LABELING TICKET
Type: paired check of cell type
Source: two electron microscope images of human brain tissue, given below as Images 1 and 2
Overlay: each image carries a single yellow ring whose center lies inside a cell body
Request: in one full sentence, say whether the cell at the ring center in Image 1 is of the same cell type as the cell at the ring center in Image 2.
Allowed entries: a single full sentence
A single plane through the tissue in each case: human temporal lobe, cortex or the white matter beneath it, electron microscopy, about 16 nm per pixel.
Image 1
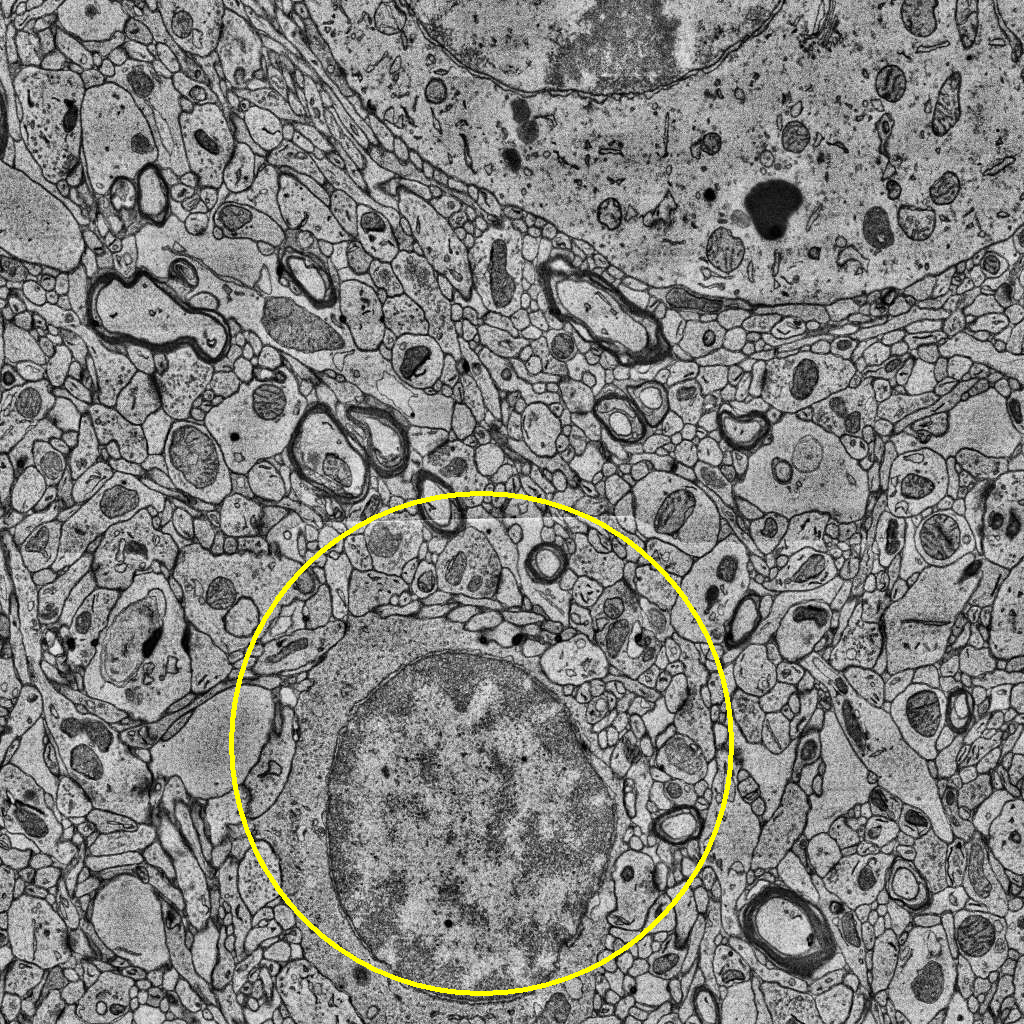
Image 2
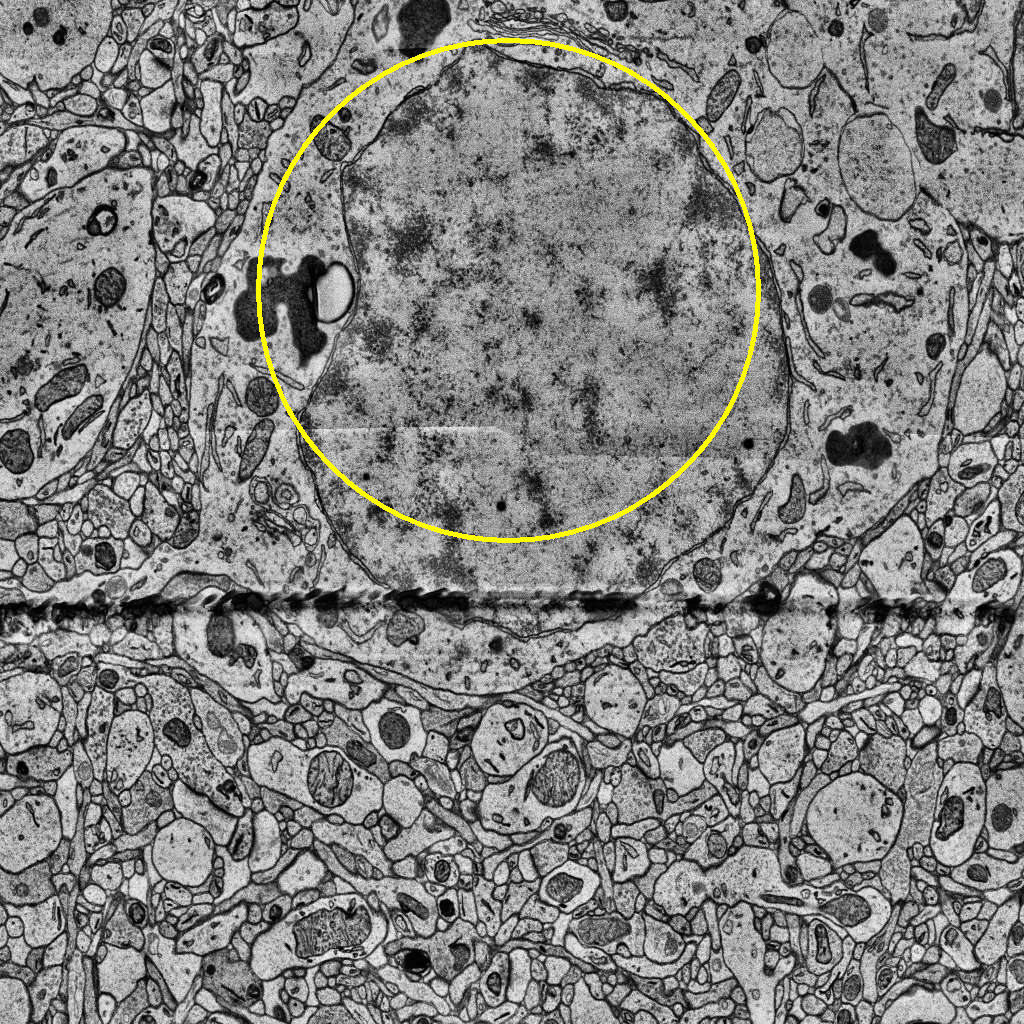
No, the cells at the ring centers of Image 1 and Image 2 are of two types.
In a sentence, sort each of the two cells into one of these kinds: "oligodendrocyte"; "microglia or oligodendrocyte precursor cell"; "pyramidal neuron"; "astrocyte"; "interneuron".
The ring of the first picture is on an oligodendrocyte, the ring of the second on an interneuron.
